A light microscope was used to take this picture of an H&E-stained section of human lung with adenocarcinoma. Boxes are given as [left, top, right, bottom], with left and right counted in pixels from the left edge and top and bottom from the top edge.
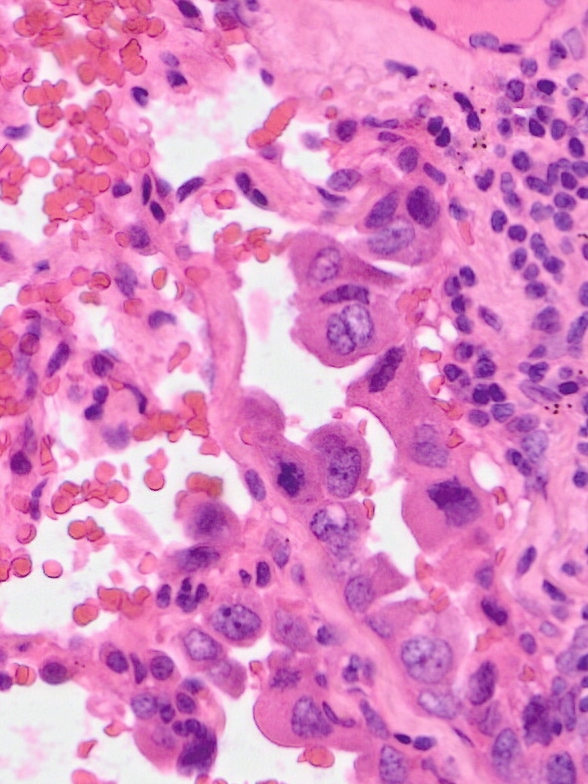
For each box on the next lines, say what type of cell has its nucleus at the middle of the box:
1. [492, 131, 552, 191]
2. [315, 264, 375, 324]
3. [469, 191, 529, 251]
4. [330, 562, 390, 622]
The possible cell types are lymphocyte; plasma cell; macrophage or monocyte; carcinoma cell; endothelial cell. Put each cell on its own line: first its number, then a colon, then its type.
1: lymphocyte
2: carcinoma cell
3: lymphocyte
4: carcinoma cell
